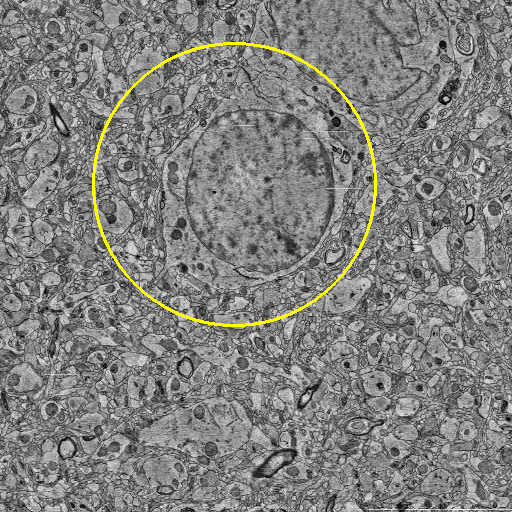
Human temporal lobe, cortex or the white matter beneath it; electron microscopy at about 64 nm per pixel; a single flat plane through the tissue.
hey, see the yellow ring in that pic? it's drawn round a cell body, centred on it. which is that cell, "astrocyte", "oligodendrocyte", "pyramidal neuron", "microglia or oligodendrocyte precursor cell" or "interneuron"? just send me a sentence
The cell in the ring is an interneuron.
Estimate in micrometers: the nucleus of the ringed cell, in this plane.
The nucleus measures about 11 by 9 micrometres in this plane.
